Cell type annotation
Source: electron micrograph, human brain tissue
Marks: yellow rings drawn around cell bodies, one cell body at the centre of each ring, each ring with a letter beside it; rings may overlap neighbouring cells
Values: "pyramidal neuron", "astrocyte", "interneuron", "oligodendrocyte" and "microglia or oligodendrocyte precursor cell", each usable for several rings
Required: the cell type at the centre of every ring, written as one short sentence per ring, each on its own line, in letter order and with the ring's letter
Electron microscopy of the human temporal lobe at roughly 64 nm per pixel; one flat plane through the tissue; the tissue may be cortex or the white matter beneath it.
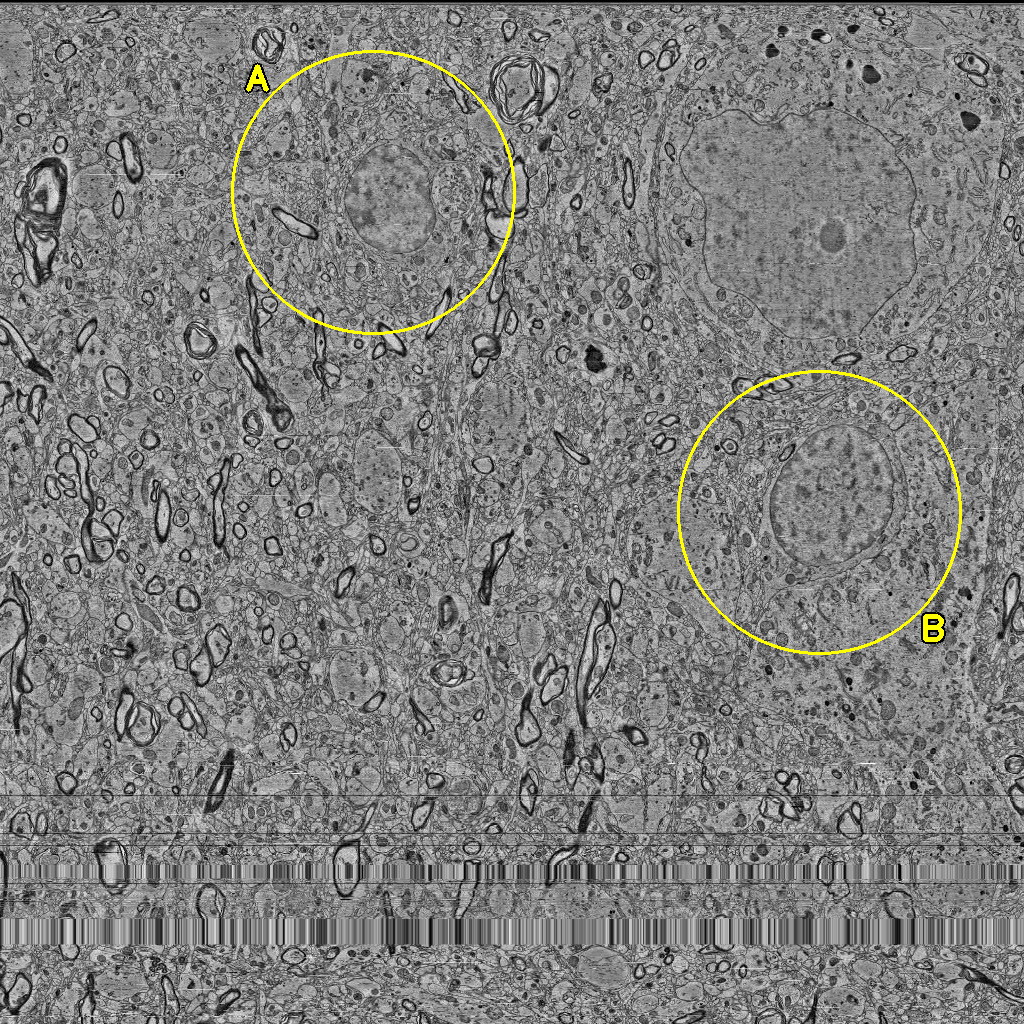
Ring A is annotated as an oligodendrocyte.
Ring B is annotated as an oligodendrocyte.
